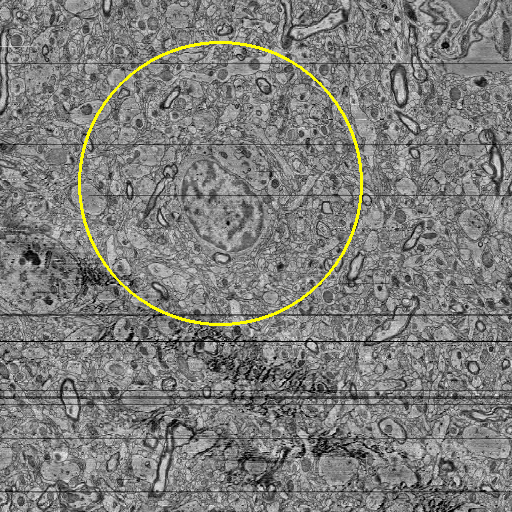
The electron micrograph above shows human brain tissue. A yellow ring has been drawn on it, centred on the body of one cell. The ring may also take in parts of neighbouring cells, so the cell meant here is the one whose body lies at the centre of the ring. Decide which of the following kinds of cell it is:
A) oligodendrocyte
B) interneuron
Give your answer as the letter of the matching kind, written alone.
A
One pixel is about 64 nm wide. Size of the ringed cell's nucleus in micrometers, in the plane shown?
In this plane, about 7 micrometres in length and 5 in width.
